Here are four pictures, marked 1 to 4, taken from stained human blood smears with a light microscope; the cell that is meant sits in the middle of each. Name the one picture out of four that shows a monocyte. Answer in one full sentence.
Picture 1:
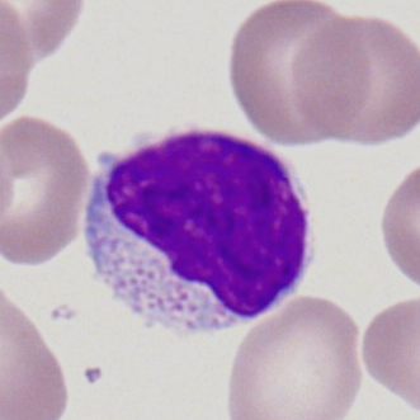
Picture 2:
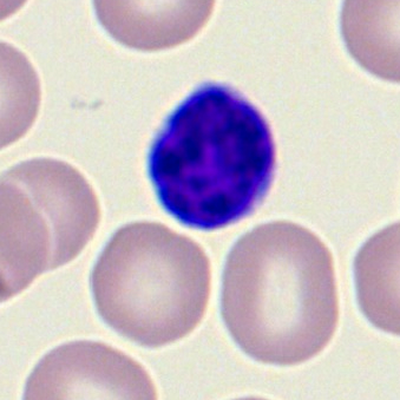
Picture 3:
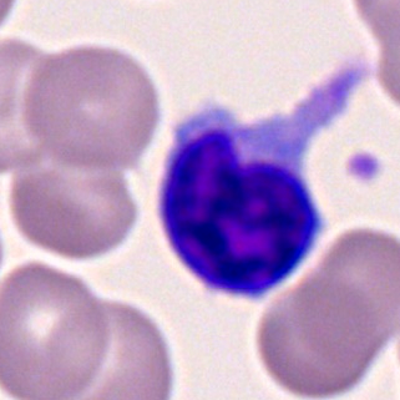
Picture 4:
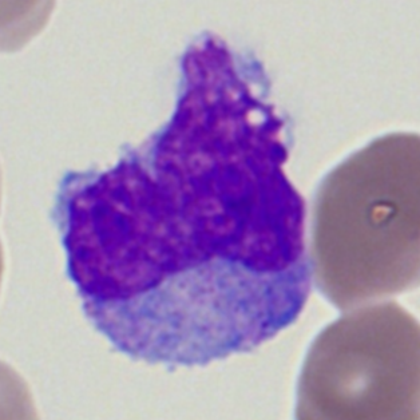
The monocyte is the one in picture 4.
